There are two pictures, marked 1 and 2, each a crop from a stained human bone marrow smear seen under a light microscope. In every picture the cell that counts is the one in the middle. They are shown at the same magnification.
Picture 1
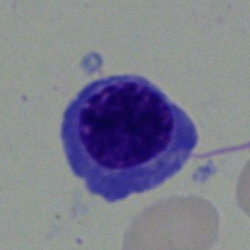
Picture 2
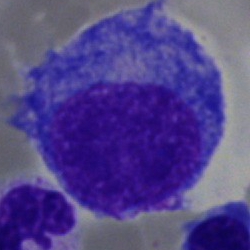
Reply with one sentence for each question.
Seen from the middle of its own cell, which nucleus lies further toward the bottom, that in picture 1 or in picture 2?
It is the nucleus in picture 2 that lies further toward the bottom of its cell.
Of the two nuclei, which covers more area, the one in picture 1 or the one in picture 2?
It is the nucleus in picture 2, about 2.5 times as large in area as the one in picture 1.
